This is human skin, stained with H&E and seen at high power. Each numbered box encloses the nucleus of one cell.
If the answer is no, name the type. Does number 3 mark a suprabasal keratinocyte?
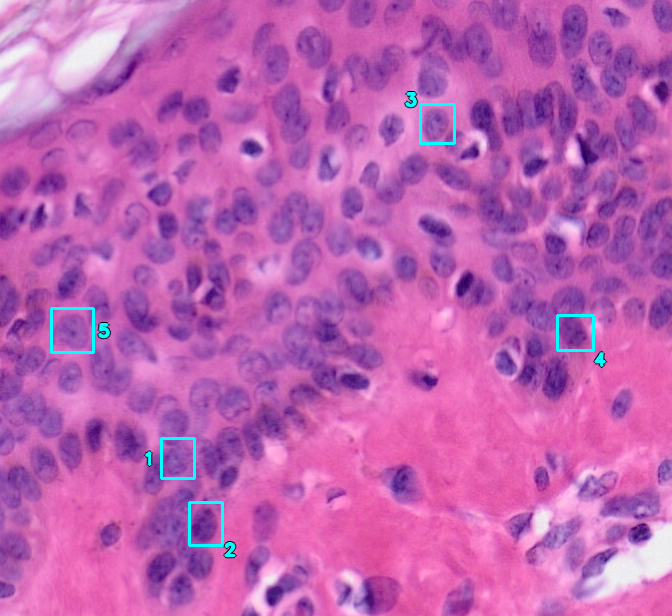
Yes.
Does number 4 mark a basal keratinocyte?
Yes.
